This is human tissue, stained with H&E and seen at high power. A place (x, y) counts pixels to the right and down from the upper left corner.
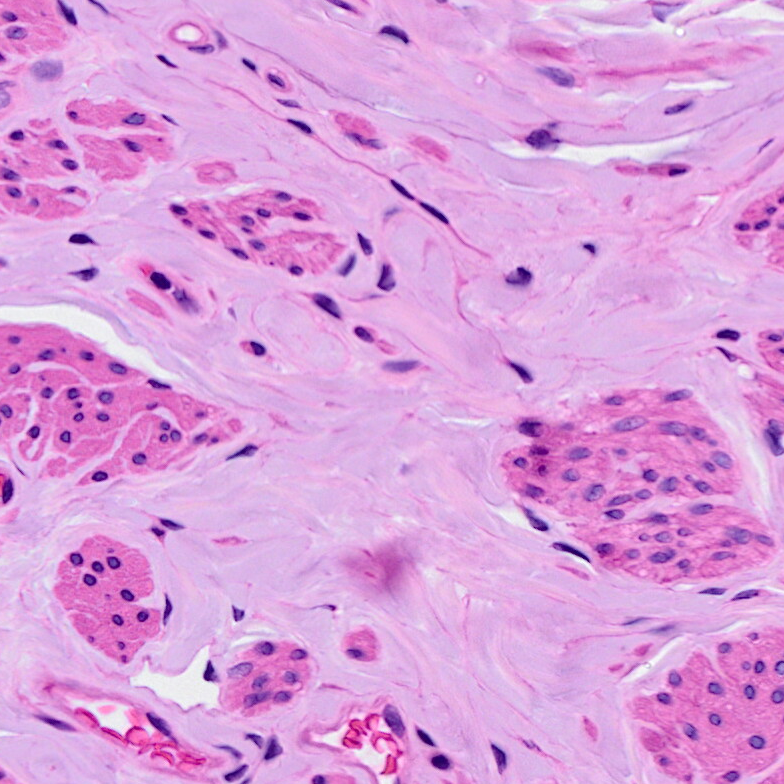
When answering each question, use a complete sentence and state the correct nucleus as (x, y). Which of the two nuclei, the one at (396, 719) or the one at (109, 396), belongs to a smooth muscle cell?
Of the two, the nucleus at (109, 396) is the one contained in a smooth muscle cell.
